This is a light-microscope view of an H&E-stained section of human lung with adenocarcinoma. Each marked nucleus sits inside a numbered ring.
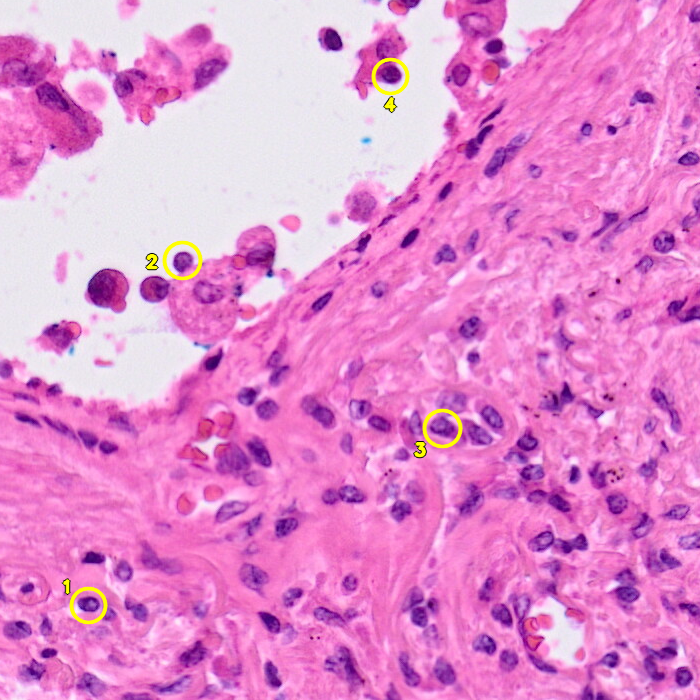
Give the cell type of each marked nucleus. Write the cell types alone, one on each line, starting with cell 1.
lymphocyte
lymphocyte
plasma cell
lymphocyte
